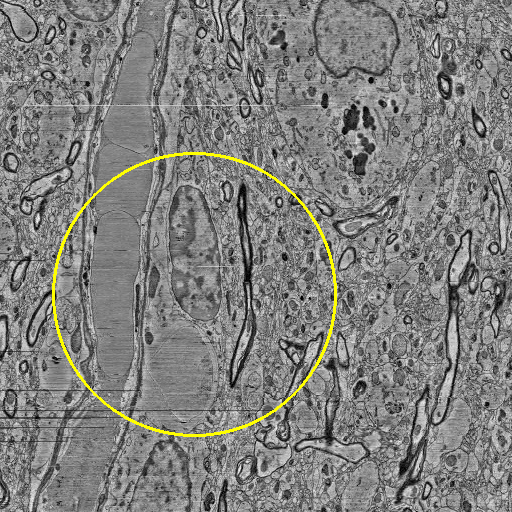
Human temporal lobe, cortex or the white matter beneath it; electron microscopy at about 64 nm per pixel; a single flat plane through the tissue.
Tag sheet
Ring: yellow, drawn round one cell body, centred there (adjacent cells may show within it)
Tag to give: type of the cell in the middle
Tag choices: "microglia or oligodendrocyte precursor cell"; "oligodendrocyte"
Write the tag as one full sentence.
I tag the cell centred in the yellow ring as a microglial cell or oligodendrocyte precursor cell in this picture.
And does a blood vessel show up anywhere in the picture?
Yes, a vessel shows somewhere in the image.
